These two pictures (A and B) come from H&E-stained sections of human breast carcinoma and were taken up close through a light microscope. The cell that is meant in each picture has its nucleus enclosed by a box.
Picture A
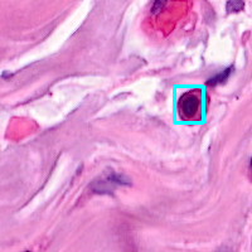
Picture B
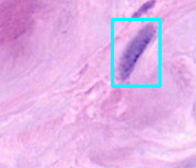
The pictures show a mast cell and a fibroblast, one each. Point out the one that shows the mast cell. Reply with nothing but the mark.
A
